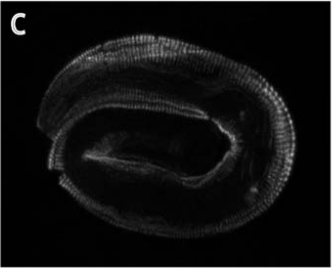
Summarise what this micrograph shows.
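An elongated embryo folded within its eggshell, with bright stain along the body wall. Along the outer bands the stain forms regular, closely spaced transverse stripes, giving a ladder-like appearance. The bands follow the body contour continuously, including the inner fold at the centre.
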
